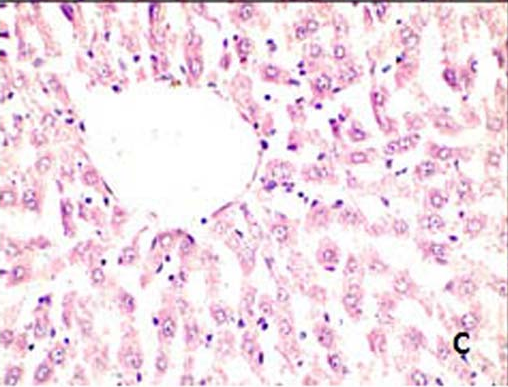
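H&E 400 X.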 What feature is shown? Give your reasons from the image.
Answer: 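A single large, round, empty lumen with a thin lining lies at the left of the field. Plates of cells radiate outward from it with no duct or artery beside it. That points to this answer: central vein.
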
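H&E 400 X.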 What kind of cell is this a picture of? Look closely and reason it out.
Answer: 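Large polygonal cells with pale pink cytoplasm. Round central nuclei with visible nucleoli, some cells with two nuclei. Cells lie in cords separated by narrow clear spaces.
Conclusion: hepatocytes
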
